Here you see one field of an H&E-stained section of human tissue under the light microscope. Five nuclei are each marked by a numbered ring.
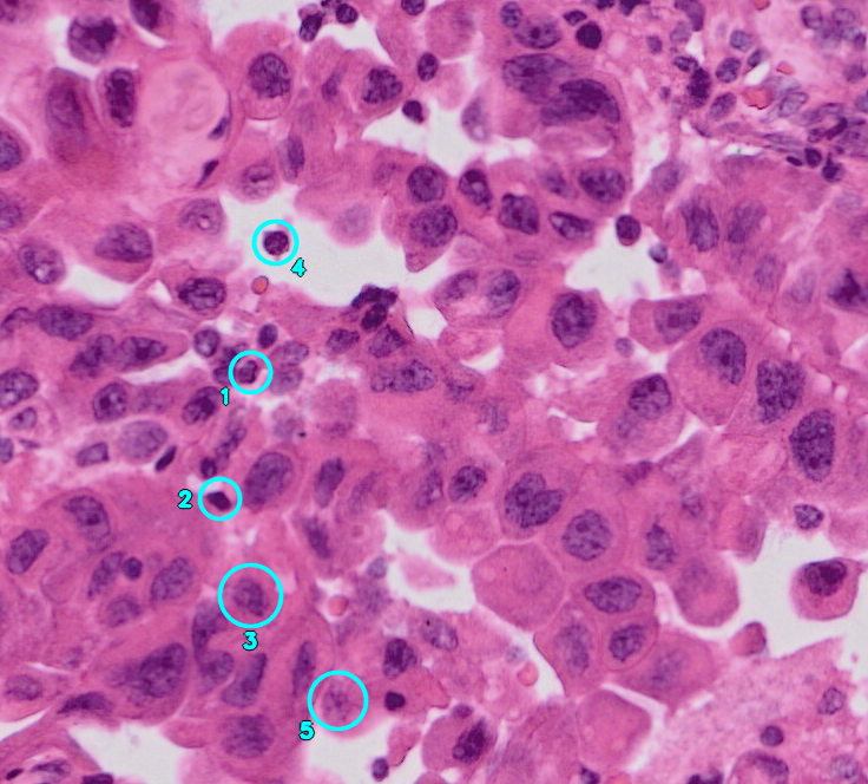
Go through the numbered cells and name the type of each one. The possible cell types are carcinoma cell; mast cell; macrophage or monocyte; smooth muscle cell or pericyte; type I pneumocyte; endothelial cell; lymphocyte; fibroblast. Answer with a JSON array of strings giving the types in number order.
["lymphocyte", "lymphocyte", "carcinoma cell", "lymphocyte", "carcinoma cell"]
